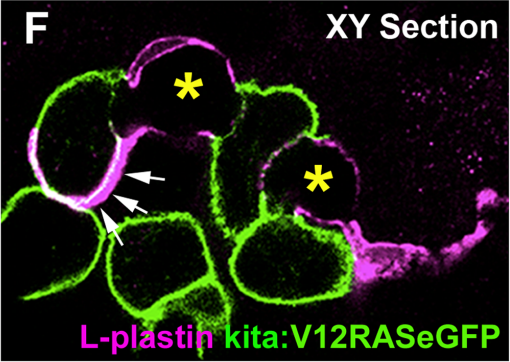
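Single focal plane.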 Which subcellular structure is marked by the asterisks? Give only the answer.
Phagosomes.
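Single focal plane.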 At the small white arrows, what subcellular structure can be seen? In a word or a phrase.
thin lamellipodial extension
